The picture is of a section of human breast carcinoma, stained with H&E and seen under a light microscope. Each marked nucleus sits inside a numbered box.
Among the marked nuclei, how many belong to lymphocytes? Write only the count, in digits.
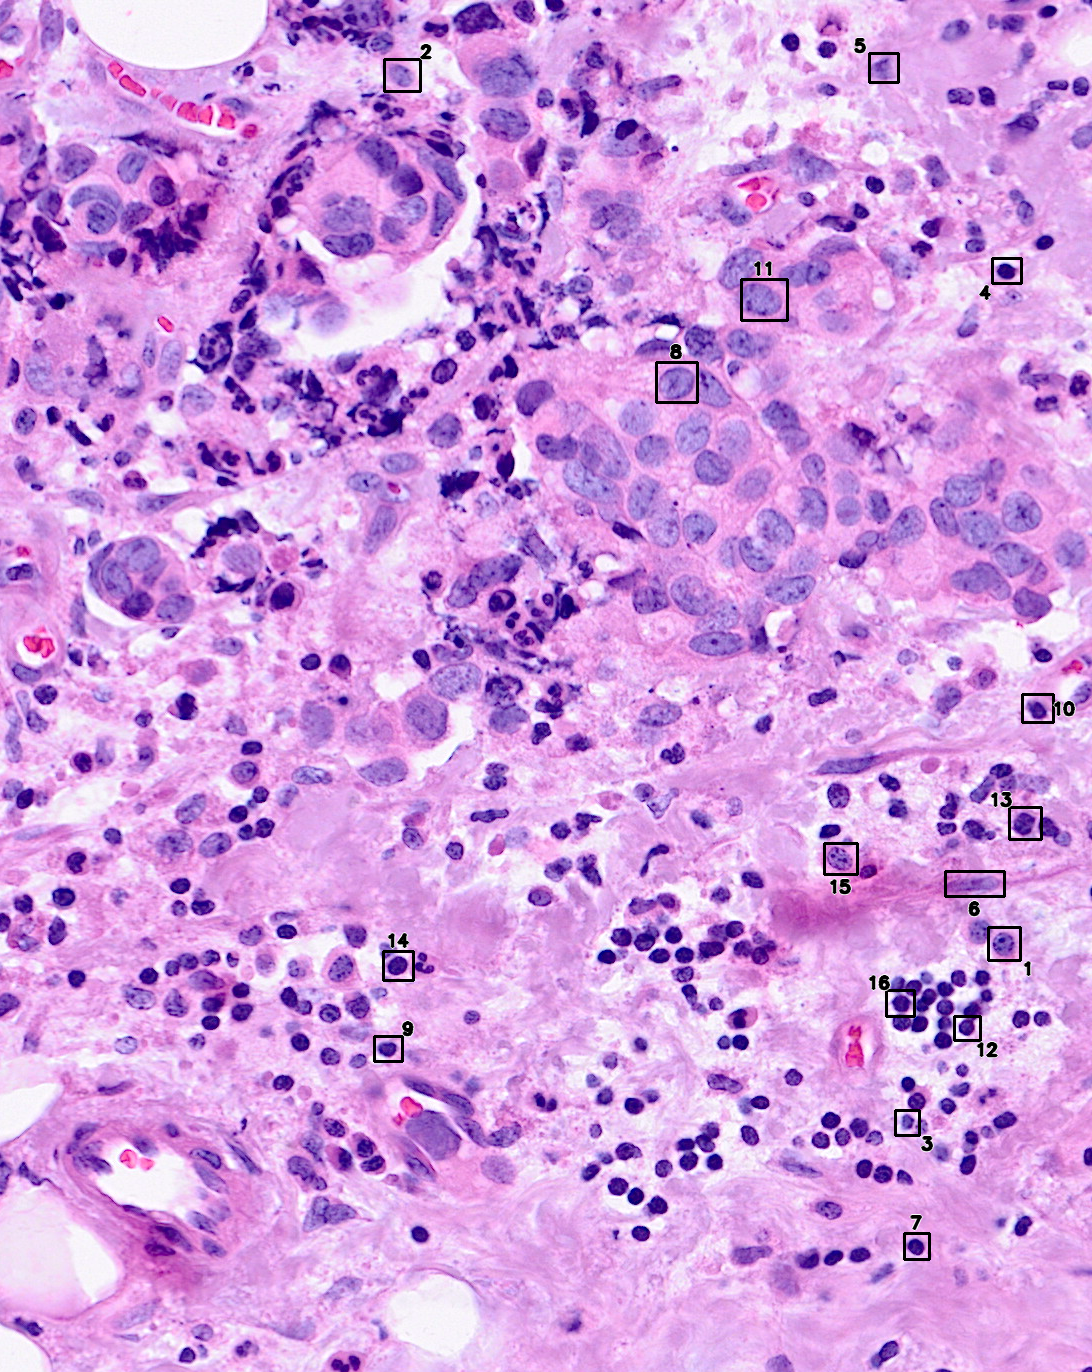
9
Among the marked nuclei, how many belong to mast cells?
3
